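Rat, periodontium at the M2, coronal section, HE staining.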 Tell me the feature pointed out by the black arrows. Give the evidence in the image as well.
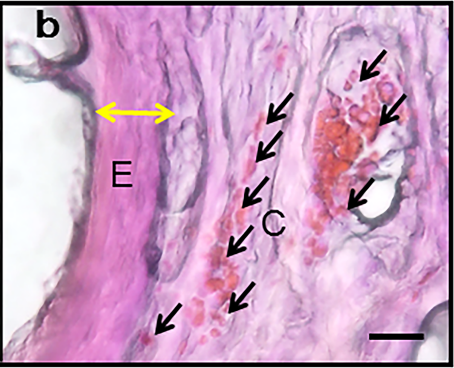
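The arrows point to small red-orange round bodies lined up in rows and clusters within the pink connective tissue. One cluster of red bodies fills a vessel lumen outlined by a thin wall.
Capillaries.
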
